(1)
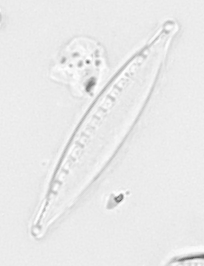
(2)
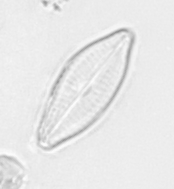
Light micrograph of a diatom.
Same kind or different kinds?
Different: the first is Nitzschia, the second Navicula.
